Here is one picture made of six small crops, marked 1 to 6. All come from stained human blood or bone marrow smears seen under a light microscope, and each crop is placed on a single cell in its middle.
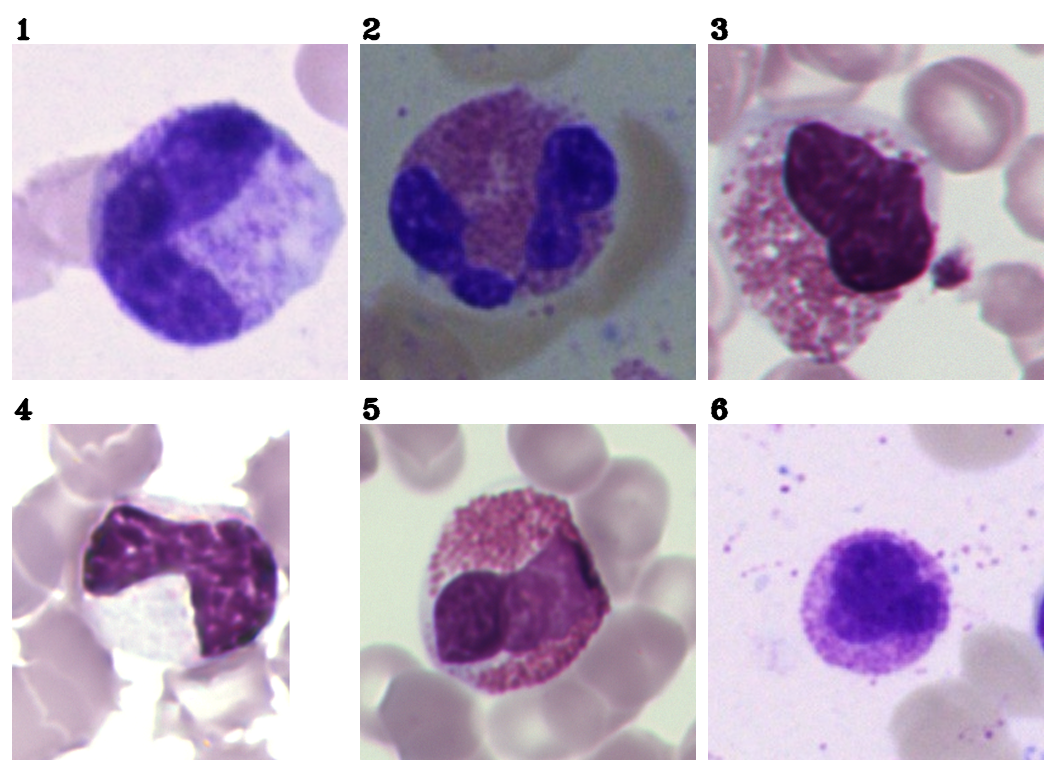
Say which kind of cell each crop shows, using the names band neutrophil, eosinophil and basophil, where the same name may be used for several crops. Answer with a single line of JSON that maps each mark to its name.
{"1": "band neutrophil", "2": "eosinophil", "3": "eosinophil", "4": "band neutrophil", "5": "eosinophil", "6": "basophil"}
